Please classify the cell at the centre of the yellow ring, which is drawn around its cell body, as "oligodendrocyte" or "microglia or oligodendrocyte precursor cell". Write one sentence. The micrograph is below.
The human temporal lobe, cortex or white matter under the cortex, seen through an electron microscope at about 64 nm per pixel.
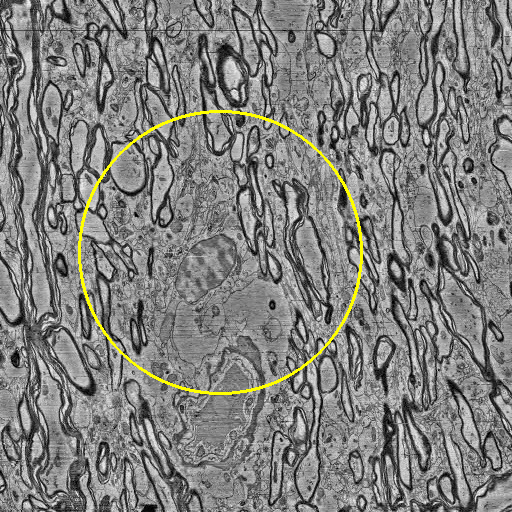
The cell at the ring's centre is classified as a microglial cell or oligodendrocyte precursor cell.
